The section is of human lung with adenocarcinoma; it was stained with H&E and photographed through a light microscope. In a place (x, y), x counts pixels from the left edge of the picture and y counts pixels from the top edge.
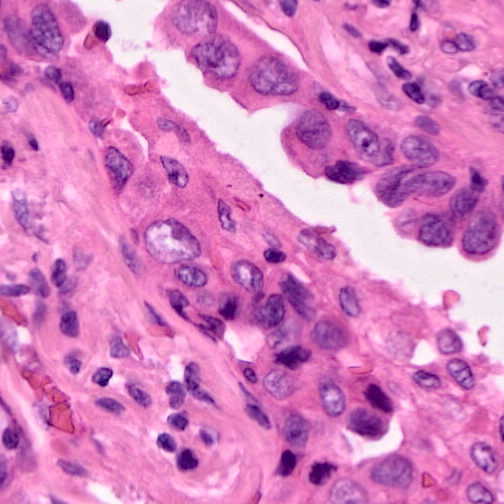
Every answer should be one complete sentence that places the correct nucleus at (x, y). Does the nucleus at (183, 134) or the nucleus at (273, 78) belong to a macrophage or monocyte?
At (183, 134) lies the nucleus that belongs to a macrophage or monocyte.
